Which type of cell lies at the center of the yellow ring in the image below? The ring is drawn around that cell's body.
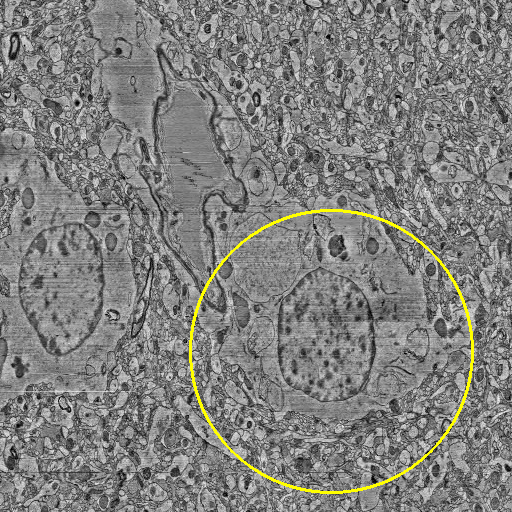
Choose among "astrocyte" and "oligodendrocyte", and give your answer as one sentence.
The cell body at the center belongs to an astrocyte.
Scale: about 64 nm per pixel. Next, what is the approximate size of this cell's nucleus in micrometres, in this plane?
The ringed cell's nucleus measures approximately 9 by 6 micrometres in this plane.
